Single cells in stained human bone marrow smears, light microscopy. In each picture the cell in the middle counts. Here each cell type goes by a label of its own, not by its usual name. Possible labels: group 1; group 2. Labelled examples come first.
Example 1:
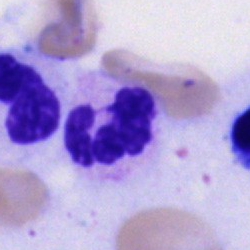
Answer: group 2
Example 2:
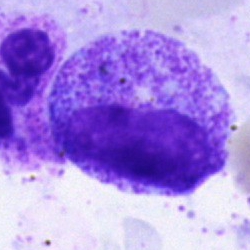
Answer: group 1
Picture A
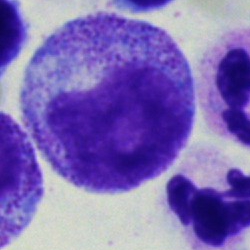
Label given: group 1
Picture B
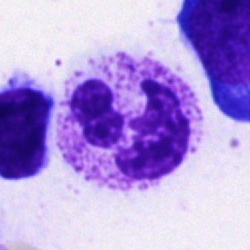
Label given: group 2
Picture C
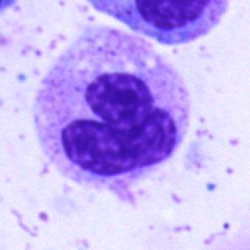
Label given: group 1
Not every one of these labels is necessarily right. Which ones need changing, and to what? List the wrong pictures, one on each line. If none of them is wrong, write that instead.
C: not group 1 but group 2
